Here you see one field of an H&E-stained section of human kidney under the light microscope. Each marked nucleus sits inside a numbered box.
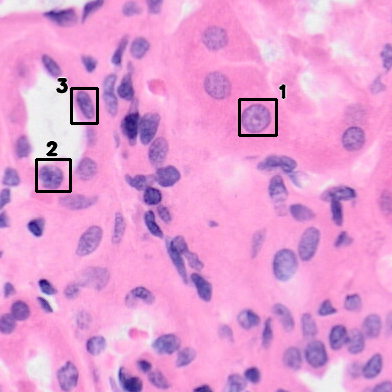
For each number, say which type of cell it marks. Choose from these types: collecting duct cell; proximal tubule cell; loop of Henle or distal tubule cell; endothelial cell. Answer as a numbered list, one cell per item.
1. proximal tubule cell
2. loop of Henle or distal tubule cell
3. loop of Henle or distal tubule cell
